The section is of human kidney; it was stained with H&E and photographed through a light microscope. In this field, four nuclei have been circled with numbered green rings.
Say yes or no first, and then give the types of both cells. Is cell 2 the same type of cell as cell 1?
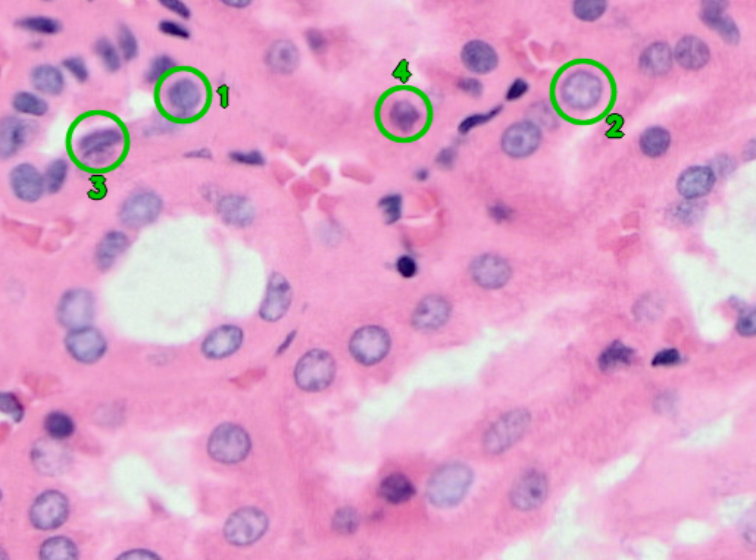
No, cell 2 is a proximal tubule cell and cell 1 is a collecting duct cell.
